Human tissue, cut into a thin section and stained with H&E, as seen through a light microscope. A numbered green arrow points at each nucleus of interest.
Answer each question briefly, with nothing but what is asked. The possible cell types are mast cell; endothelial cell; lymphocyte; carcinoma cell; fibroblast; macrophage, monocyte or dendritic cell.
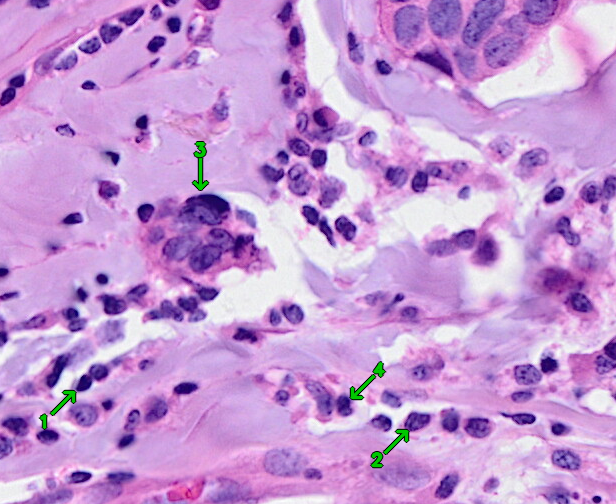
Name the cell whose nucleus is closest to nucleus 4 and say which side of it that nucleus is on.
a mast cell to the left of nucleus 4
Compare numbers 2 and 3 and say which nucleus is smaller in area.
2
